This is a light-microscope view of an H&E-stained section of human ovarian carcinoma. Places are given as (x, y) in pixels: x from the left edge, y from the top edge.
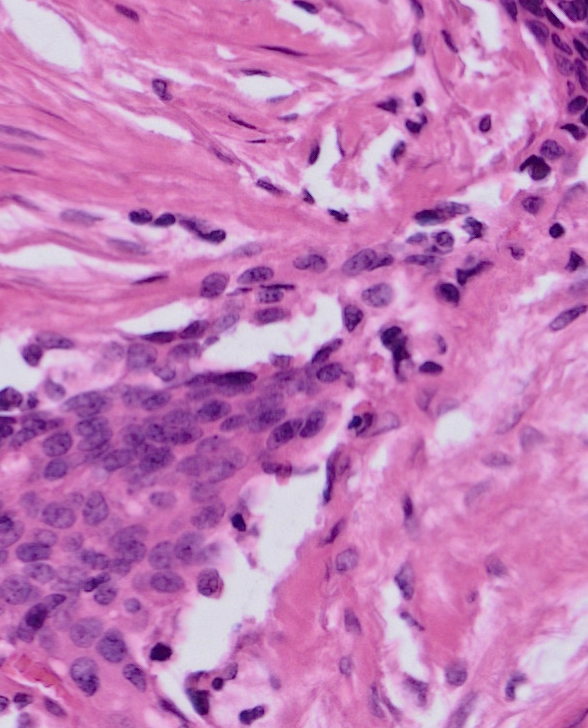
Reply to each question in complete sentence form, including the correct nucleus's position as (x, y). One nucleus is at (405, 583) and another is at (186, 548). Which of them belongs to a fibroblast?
The nucleus that belongs to a fibroblast sits at (405, 583).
